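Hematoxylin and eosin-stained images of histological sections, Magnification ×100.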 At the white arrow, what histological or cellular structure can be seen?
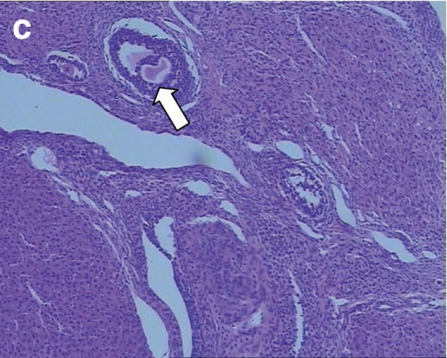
Follicles.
